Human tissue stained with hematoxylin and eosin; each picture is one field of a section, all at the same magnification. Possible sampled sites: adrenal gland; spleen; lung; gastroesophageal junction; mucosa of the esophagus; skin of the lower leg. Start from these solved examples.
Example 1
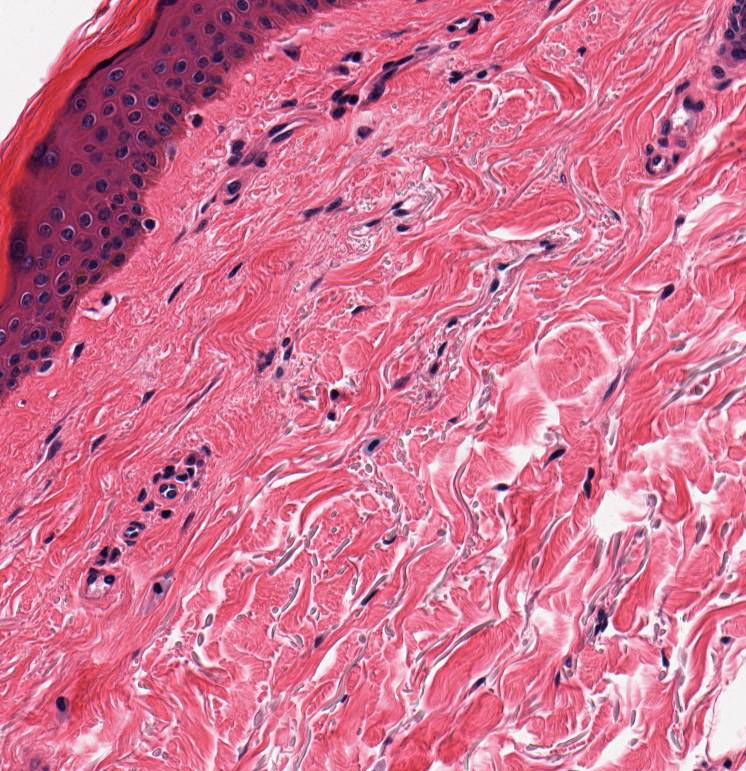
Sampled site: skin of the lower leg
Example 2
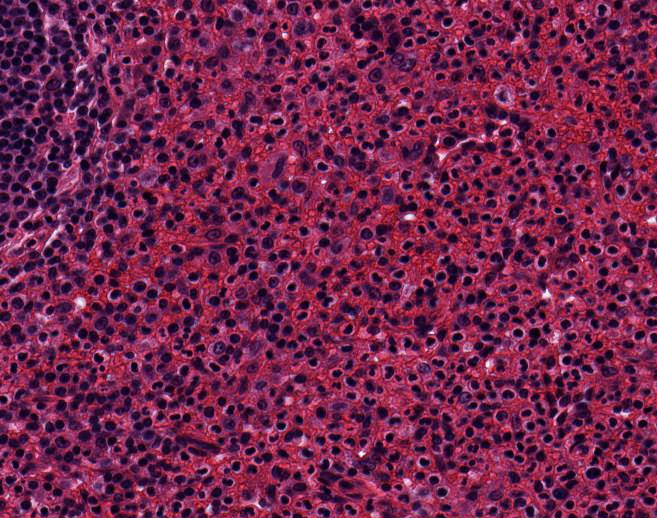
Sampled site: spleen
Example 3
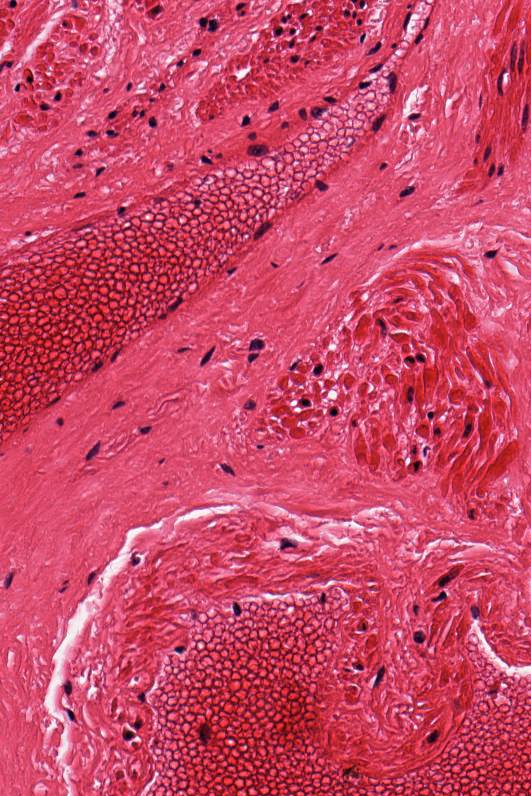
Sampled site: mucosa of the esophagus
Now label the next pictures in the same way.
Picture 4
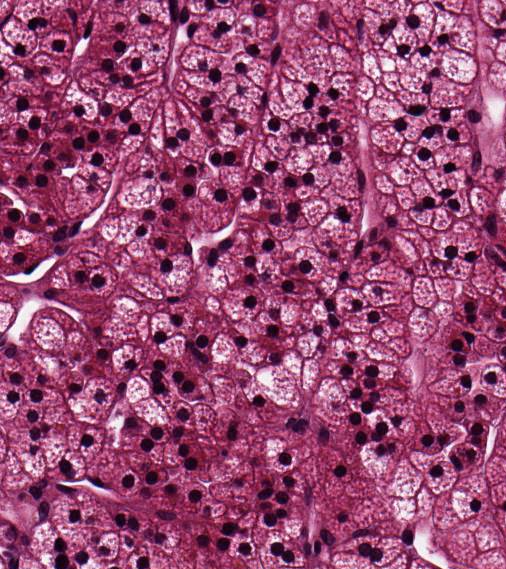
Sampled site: adrenal gland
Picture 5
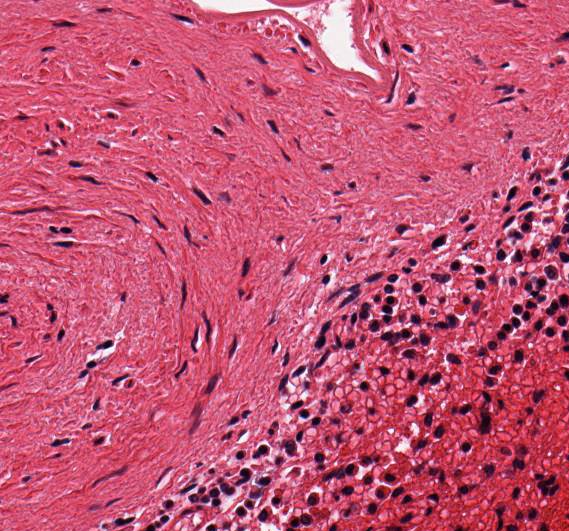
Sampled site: spleen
